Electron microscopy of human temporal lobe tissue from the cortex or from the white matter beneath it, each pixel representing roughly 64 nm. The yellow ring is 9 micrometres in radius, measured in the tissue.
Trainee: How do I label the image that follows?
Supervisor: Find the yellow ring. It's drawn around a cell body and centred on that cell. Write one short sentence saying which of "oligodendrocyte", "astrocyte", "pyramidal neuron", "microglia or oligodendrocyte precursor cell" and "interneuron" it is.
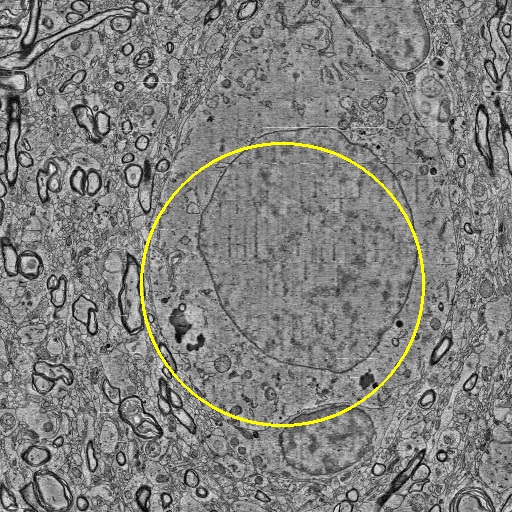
This is the cell body of a pyramidal neuron.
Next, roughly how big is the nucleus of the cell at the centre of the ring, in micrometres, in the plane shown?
About 17 by 14 micrometers for the nucleus, in this plane.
